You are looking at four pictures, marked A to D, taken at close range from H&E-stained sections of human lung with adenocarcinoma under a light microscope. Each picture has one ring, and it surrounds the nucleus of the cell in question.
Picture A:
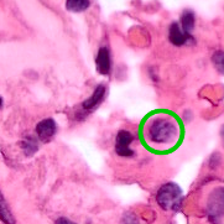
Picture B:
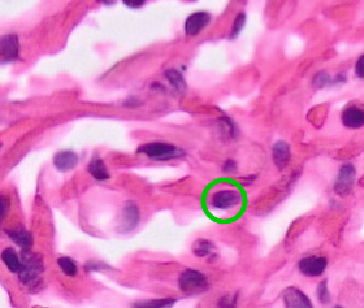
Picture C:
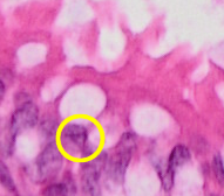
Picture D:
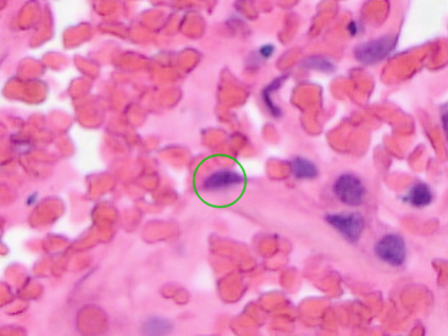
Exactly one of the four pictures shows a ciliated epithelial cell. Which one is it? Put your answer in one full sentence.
It is picture C that shows the ciliated epithelial cell.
